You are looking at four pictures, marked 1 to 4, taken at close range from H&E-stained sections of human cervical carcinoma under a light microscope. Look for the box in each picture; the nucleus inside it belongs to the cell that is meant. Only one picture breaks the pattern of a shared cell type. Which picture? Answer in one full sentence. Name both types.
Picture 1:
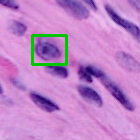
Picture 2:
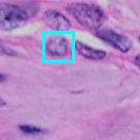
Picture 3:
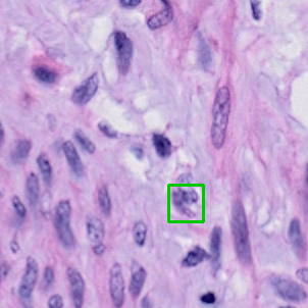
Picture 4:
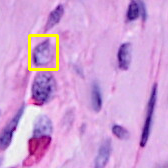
Picture 3 is the odd one out: it shows a “macrophage or monocyte”, while the others show endothelial cells.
